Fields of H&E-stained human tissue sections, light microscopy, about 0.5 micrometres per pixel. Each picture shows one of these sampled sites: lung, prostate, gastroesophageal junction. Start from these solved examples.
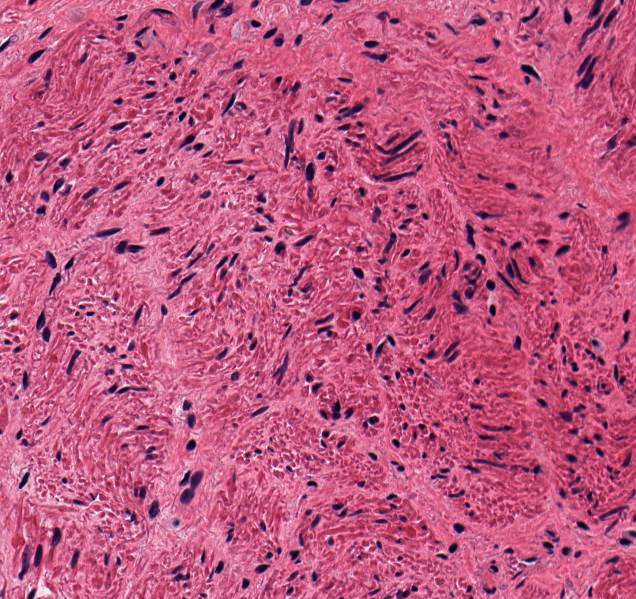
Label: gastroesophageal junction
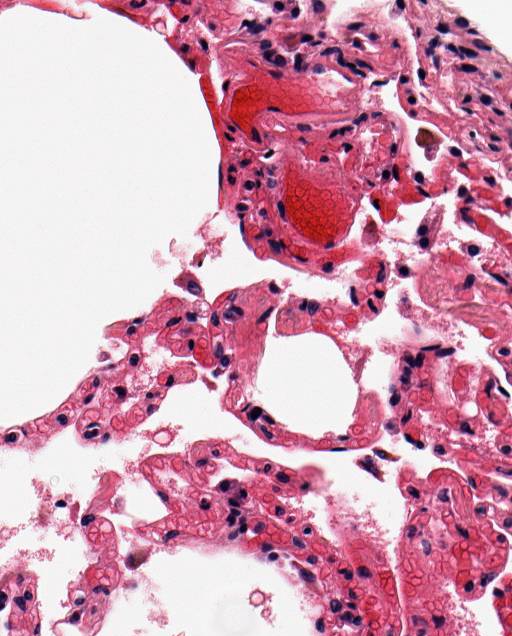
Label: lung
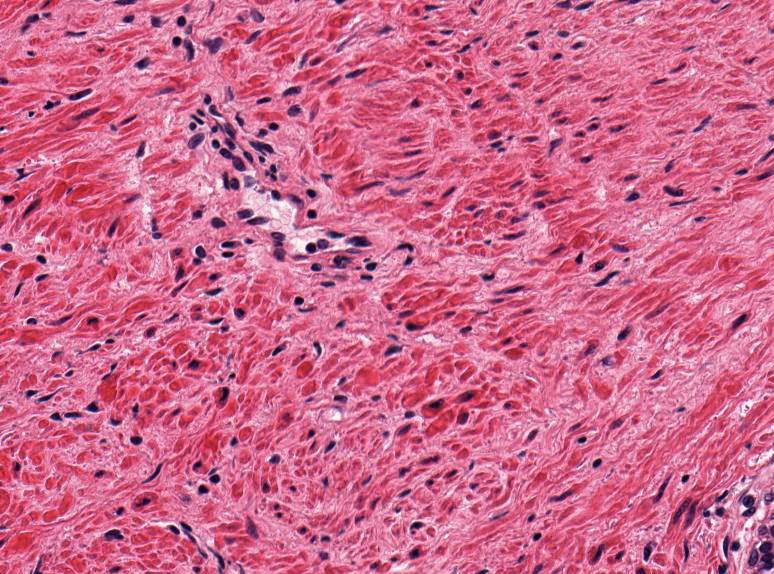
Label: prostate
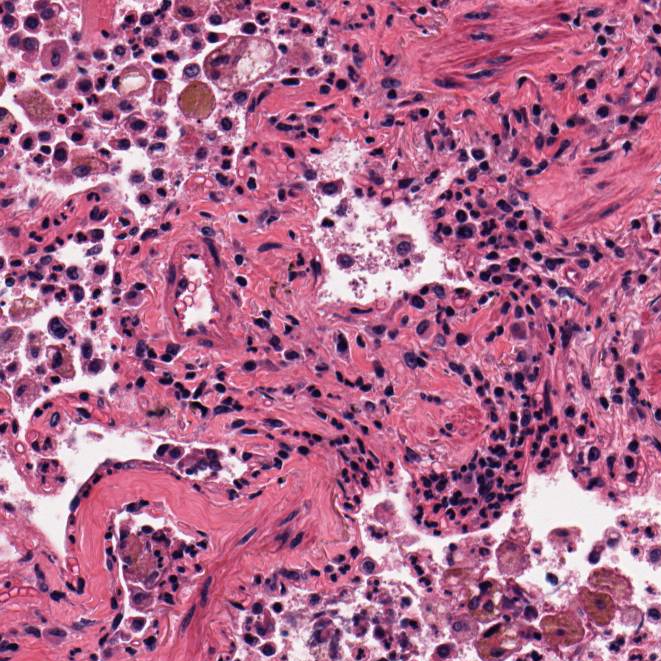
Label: lung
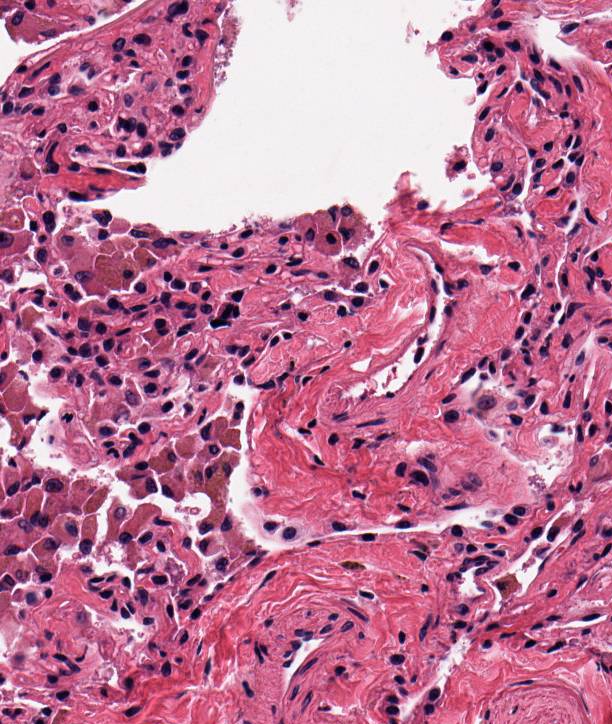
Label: lung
